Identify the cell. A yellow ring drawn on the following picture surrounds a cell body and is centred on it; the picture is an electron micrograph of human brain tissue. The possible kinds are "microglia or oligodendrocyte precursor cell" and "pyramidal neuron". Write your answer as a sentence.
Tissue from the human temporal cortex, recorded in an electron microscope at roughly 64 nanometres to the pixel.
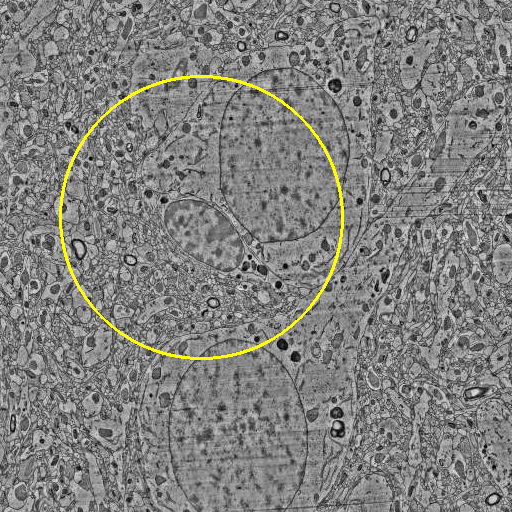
The cell identified by the ring is a microglial cell or oligodendrocyte precursor cell.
